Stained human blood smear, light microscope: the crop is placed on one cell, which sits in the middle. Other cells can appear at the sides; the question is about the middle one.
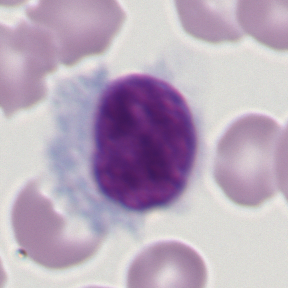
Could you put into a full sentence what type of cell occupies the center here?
What the crop centres on is a hairy cell.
